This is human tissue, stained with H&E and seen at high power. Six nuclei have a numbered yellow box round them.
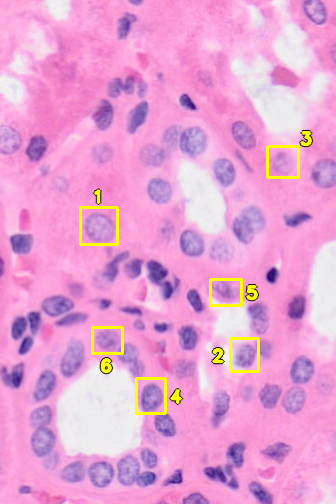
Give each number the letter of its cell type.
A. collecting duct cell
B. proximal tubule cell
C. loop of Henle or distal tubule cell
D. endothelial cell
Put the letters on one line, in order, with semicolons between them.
B; C; B; A; C; A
